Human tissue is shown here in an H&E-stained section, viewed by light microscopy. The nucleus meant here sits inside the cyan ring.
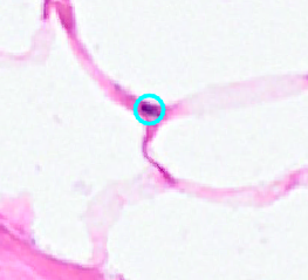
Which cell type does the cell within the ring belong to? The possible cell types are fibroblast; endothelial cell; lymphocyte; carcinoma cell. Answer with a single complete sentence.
In this tissue sample, the cell within the ring is an endothelial cell.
